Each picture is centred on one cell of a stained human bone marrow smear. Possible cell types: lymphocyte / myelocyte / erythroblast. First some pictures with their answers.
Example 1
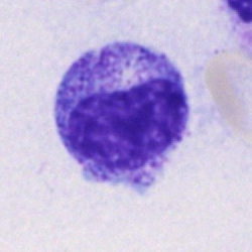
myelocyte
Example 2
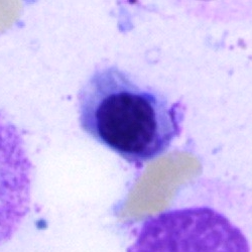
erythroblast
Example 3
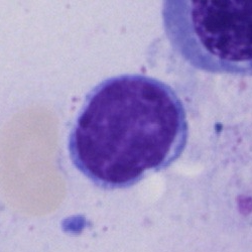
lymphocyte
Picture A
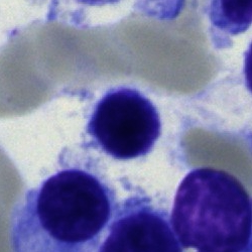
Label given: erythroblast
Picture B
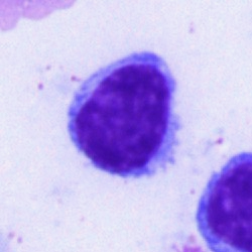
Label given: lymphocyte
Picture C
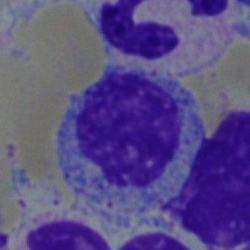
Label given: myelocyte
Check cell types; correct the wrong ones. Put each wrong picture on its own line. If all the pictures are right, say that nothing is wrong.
A is labelled erythroblast; correct label: lymphocyte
